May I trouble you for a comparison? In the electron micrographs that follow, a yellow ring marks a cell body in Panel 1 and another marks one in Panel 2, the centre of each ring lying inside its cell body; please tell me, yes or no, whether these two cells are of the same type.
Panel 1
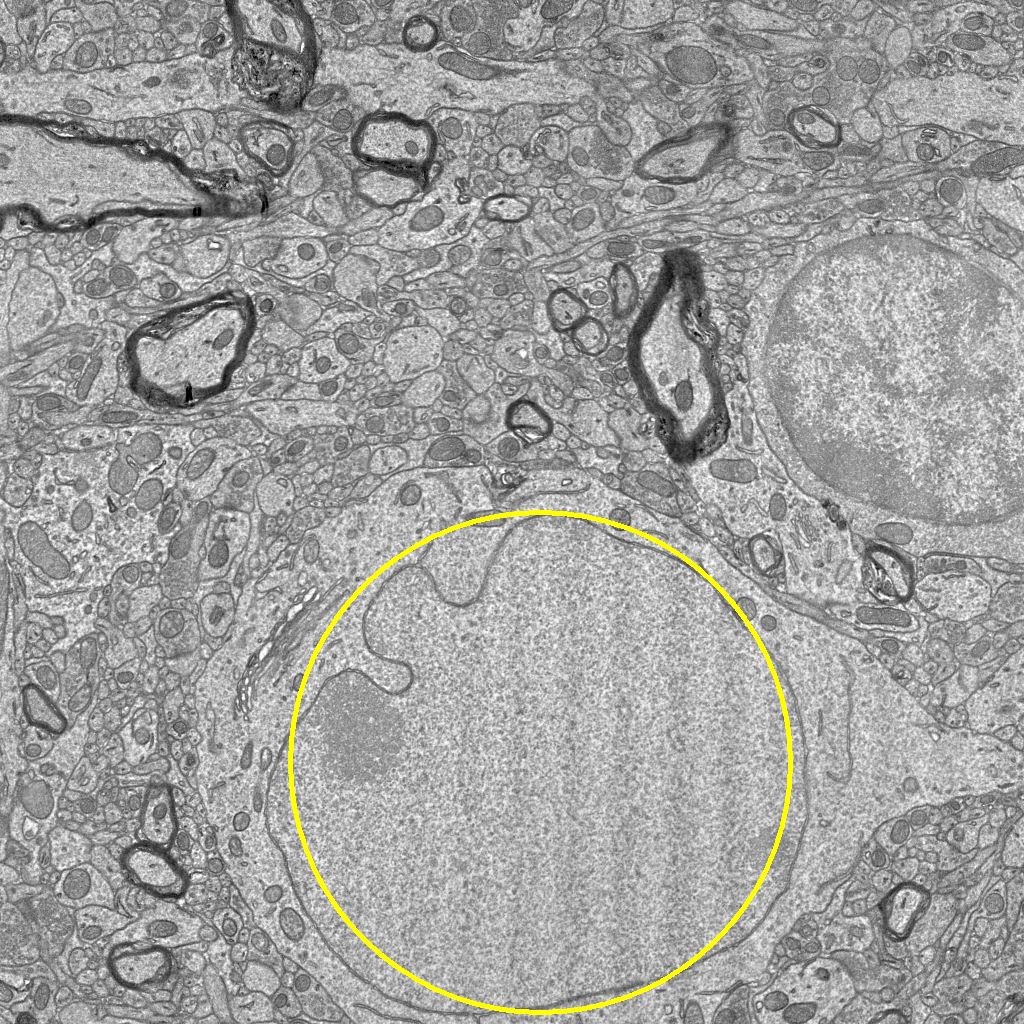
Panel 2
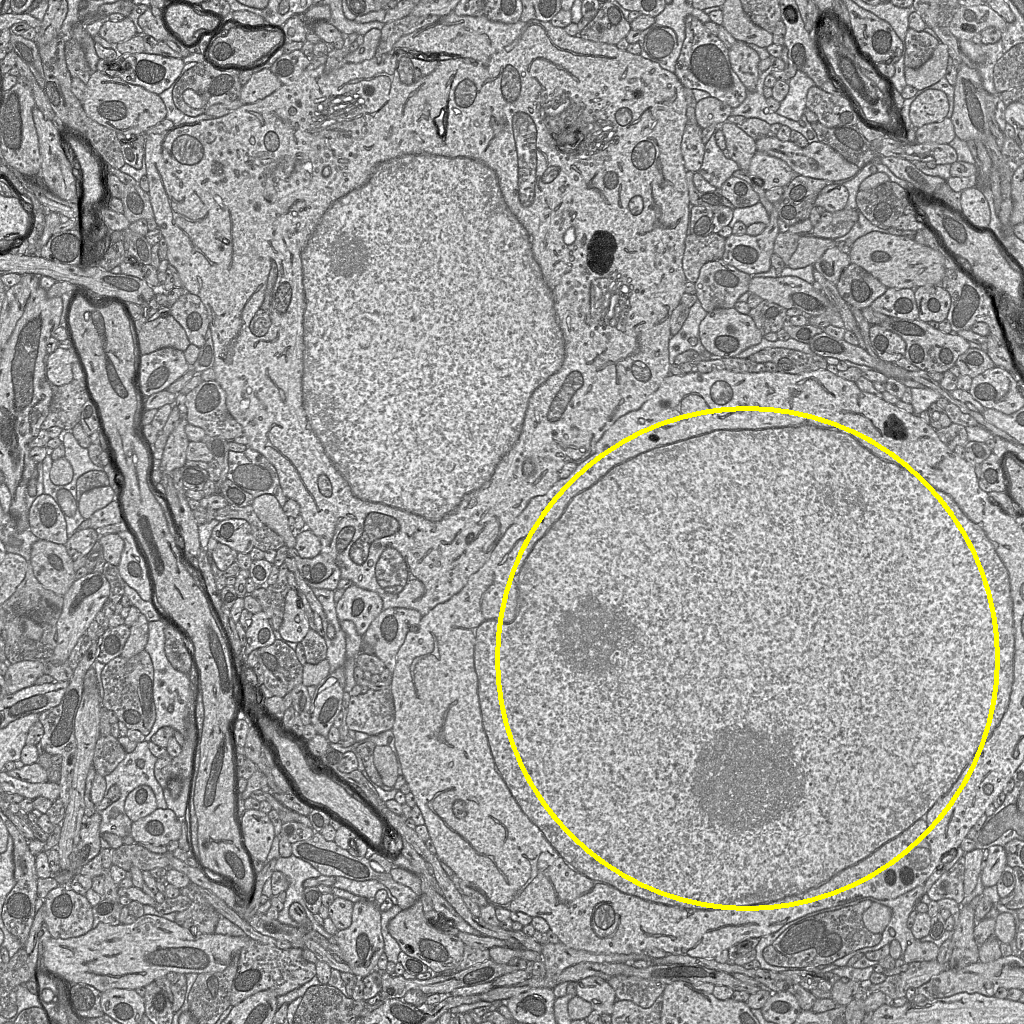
yes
